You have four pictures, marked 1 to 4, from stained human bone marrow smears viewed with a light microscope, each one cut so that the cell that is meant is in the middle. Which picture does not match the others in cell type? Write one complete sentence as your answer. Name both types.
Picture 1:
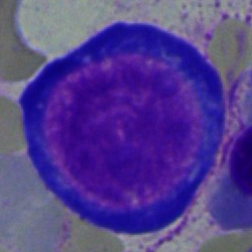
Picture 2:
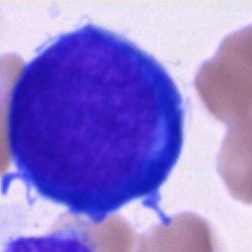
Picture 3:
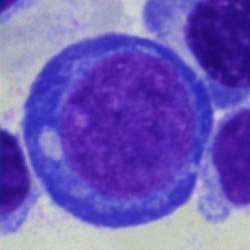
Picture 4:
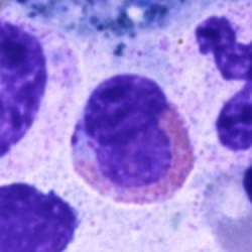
Picture 4 differs, because its cell is an eosinophil and the rest are proerythroblasts.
